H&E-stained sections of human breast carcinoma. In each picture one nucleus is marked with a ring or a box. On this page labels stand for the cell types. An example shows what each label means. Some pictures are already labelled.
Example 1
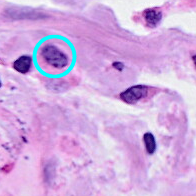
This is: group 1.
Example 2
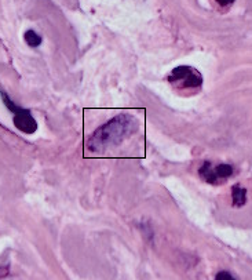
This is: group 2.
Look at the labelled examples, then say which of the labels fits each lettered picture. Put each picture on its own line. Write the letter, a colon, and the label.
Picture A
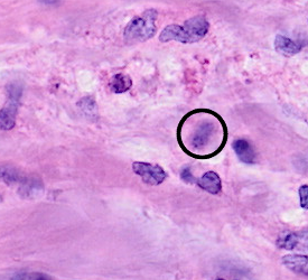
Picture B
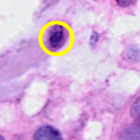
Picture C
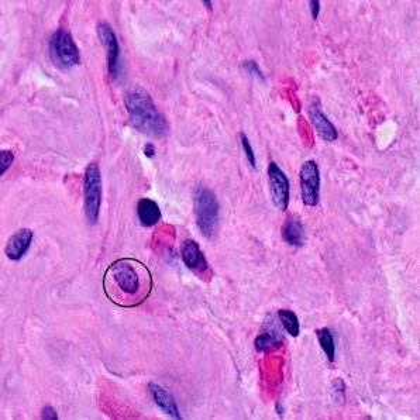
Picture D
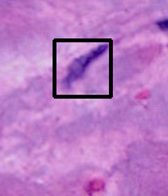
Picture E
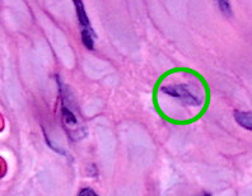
A: group 1.
B: group 1.
C: group 1.
D: group 2.
E: group 2.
